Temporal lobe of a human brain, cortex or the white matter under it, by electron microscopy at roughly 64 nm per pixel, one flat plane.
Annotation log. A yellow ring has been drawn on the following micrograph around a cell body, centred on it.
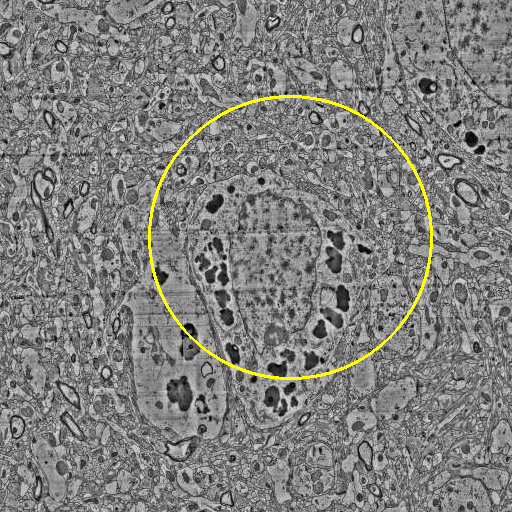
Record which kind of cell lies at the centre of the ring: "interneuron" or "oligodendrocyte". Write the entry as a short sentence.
The cell the ring is centred on is an interneuron.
